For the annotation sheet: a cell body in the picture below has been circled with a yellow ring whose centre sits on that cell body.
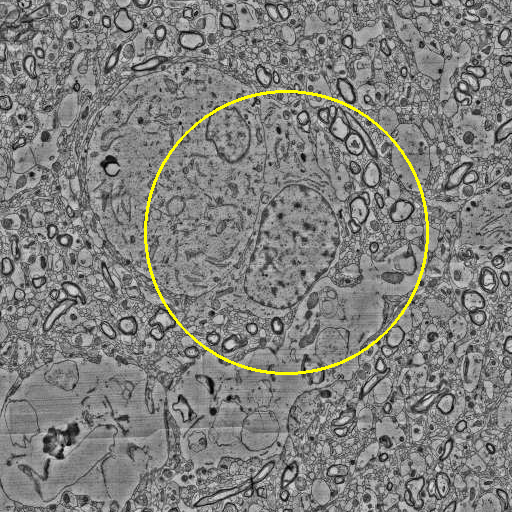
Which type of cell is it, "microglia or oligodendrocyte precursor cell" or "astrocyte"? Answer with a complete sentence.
The circled cell is a microglial cell or oligodendrocyte precursor cell.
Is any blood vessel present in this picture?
Yes.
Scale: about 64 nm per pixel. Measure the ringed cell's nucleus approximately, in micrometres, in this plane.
About 8 by 6 micrometres in this plane.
